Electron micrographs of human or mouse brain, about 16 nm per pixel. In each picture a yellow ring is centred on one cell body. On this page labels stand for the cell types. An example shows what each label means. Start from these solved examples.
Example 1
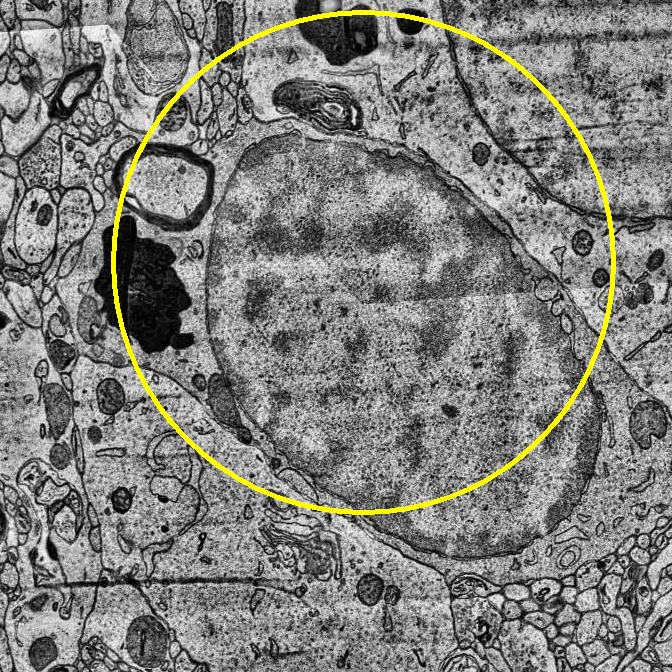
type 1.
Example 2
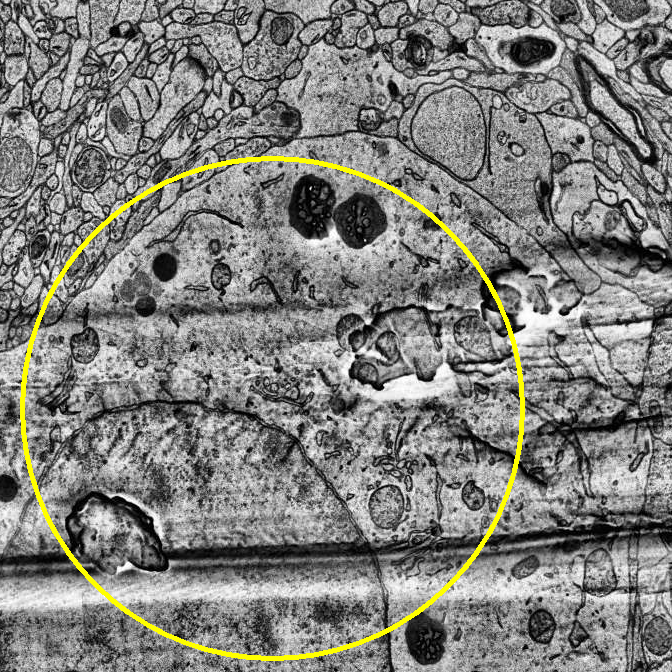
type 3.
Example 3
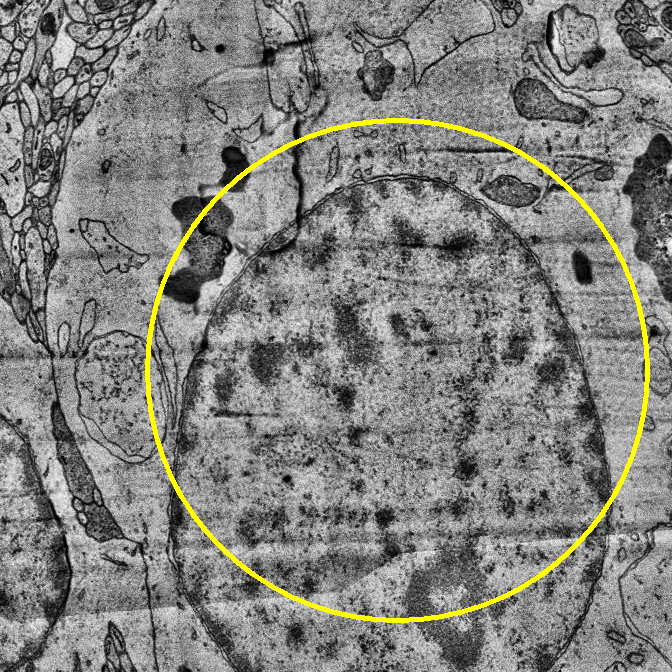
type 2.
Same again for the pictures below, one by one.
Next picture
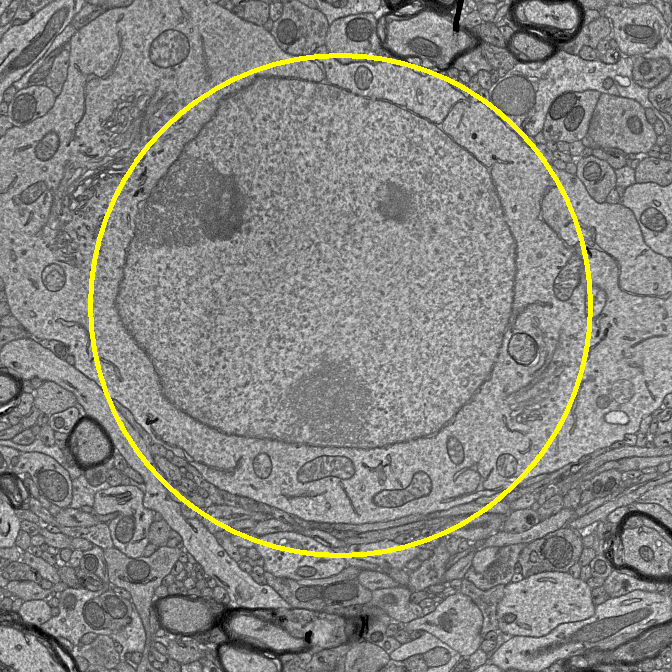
type 3.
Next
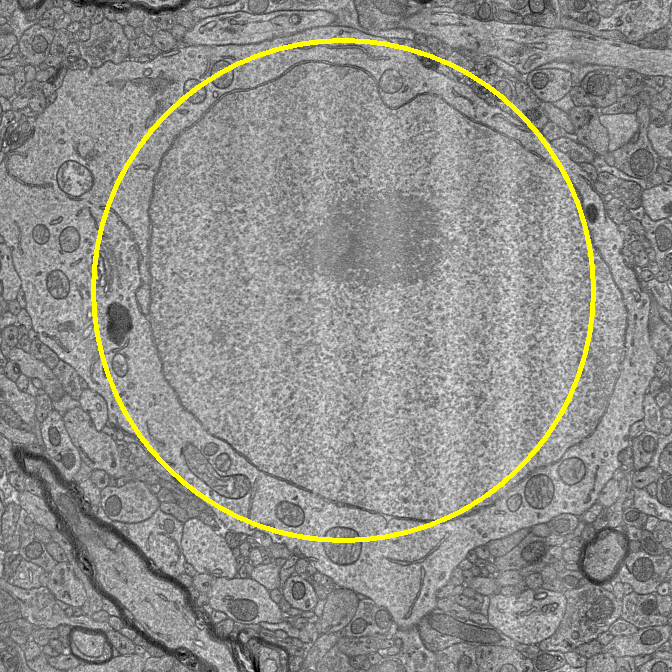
type 3.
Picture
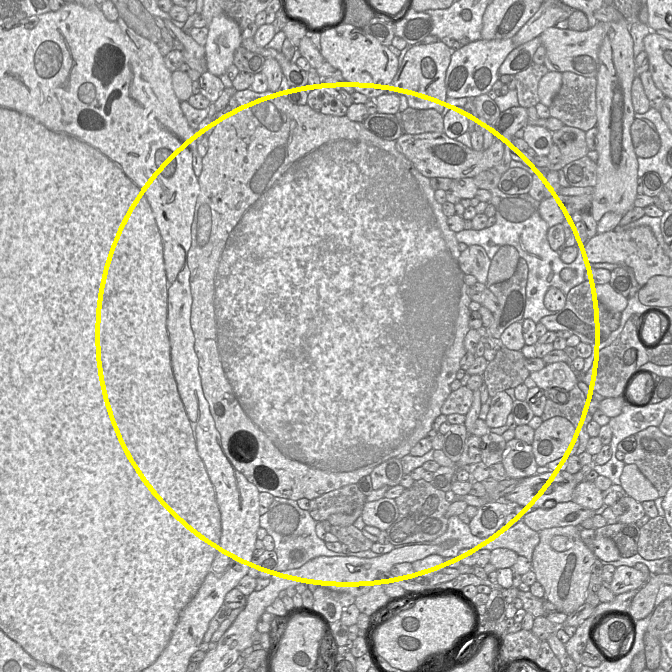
type 1.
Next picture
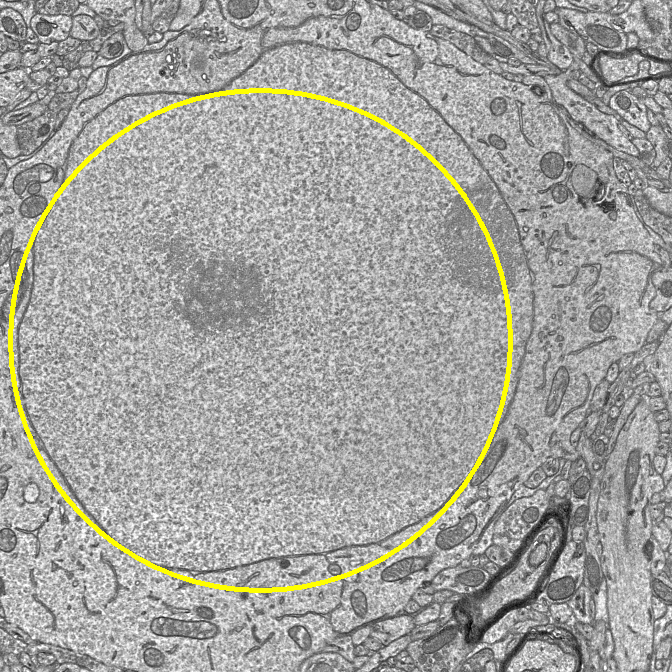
type 3.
